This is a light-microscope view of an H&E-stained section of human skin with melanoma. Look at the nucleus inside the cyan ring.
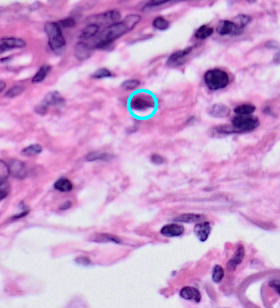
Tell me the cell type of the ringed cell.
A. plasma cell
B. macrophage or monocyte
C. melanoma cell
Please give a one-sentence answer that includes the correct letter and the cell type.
The proper choice here is A: the ringed cell is a plasma cell.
